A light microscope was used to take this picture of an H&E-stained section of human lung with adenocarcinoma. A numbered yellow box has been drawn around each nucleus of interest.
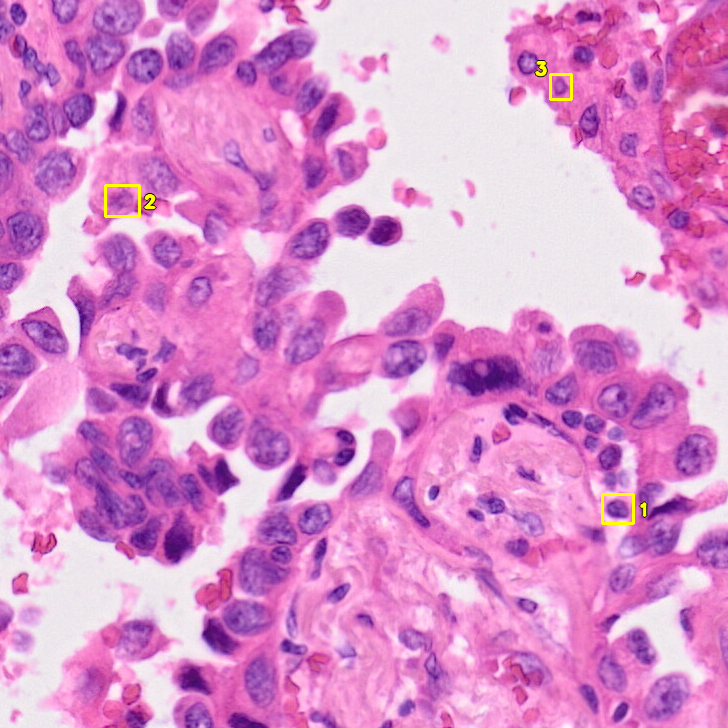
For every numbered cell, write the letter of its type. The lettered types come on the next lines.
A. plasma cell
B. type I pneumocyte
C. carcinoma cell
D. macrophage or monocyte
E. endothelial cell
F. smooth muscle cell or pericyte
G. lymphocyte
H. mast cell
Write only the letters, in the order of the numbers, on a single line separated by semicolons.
G; D; D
